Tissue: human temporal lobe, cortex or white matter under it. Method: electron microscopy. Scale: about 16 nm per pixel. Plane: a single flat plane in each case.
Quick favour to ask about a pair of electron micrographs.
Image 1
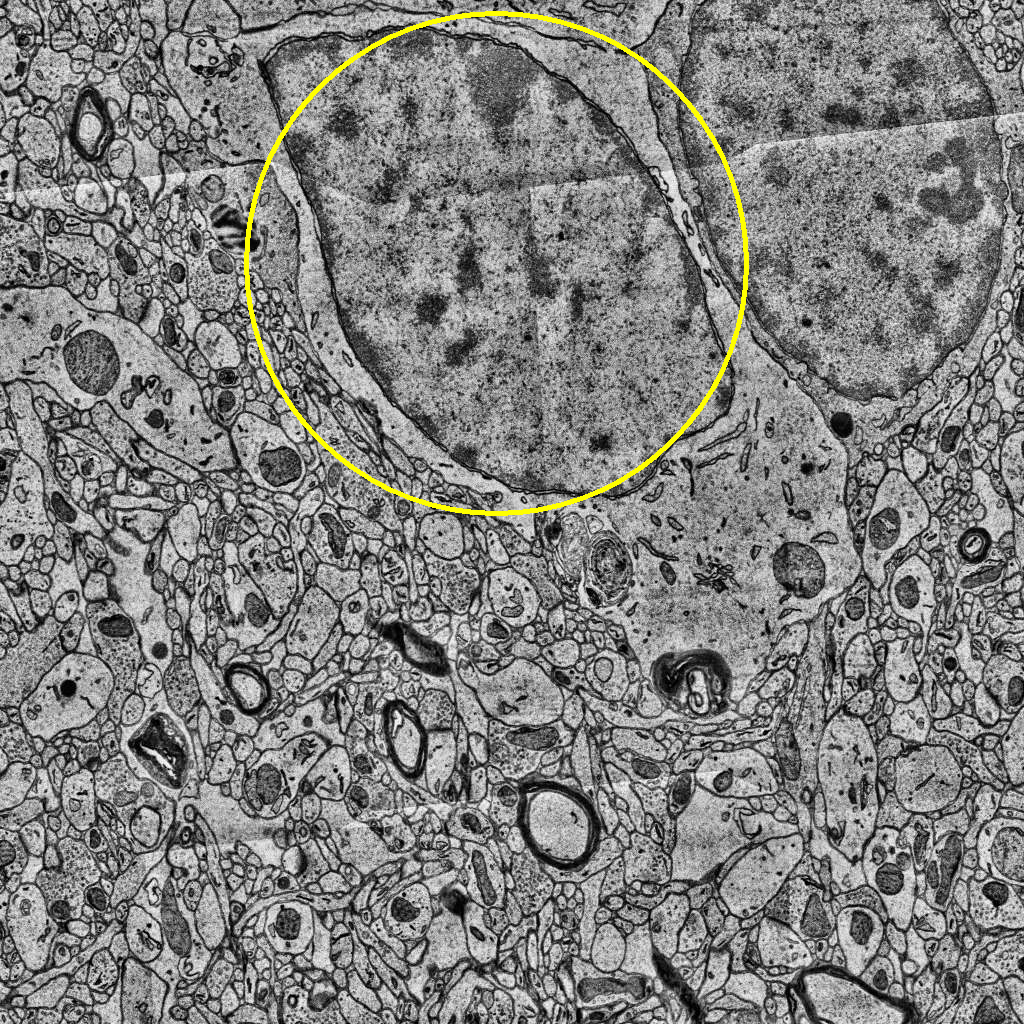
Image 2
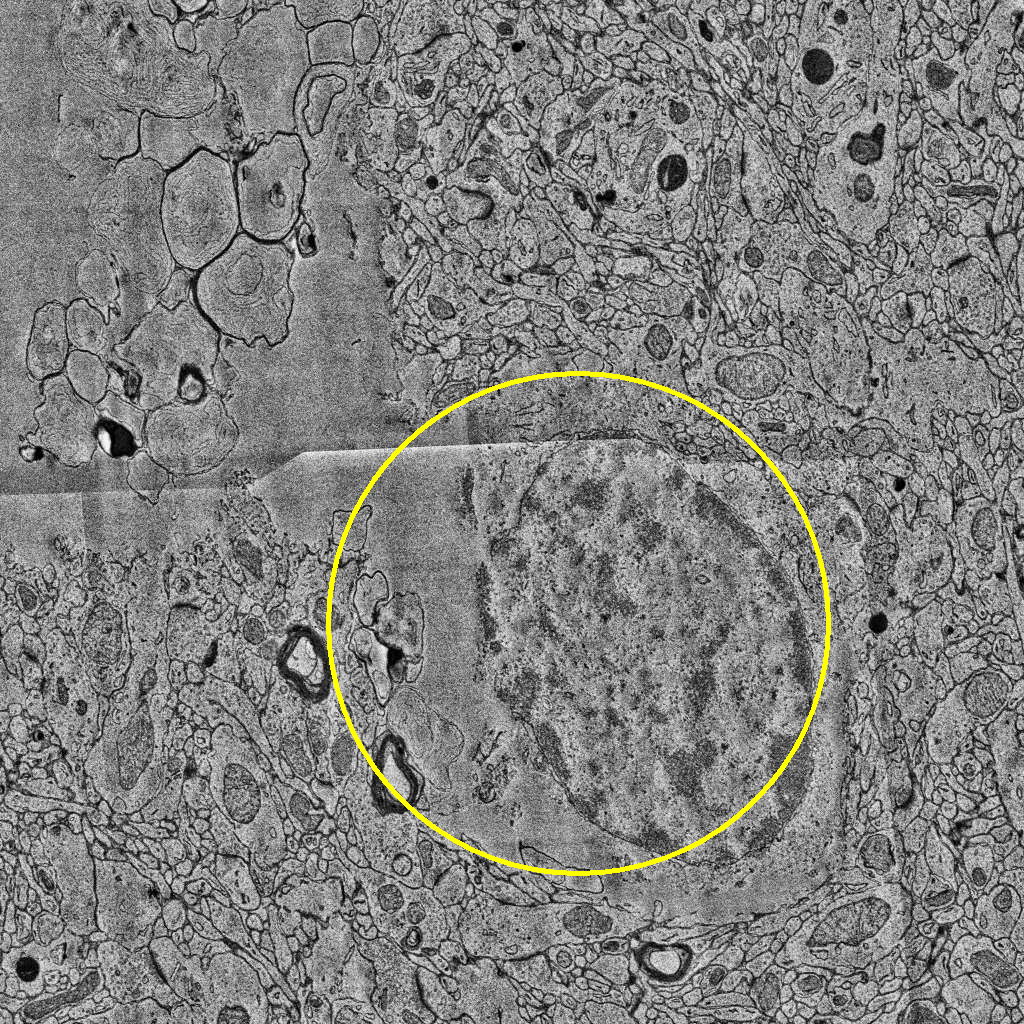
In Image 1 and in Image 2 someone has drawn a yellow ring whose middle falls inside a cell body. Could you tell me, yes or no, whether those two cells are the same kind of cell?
yes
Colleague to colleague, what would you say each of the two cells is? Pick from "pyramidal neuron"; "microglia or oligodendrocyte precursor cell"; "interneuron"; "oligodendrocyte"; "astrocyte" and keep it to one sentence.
Each of the two cells is a microglial cell or oligodendrocyte precursor cell.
